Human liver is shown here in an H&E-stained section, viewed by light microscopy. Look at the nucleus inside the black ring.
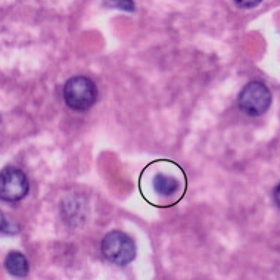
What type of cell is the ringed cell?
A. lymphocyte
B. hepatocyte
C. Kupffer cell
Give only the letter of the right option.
A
